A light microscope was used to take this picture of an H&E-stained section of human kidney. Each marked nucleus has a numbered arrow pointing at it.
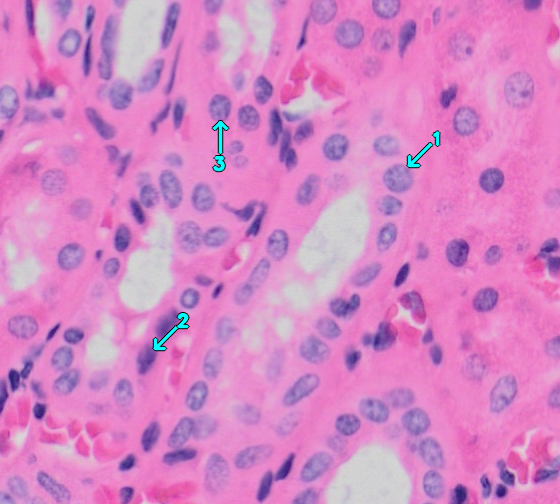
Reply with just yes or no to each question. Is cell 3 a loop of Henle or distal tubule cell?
yes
